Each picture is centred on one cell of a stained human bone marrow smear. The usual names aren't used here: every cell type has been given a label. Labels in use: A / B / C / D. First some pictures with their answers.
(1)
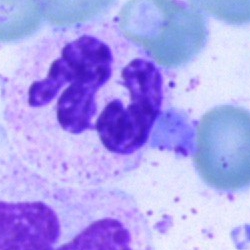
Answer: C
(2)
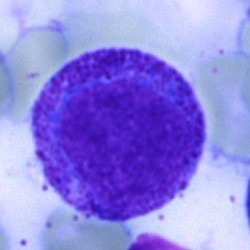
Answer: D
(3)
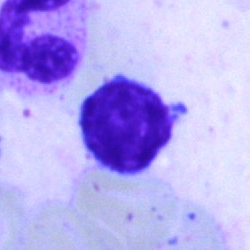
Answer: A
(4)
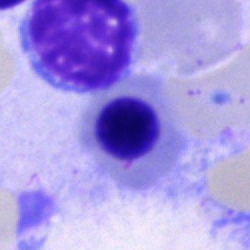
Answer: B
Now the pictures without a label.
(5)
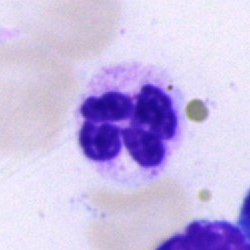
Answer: C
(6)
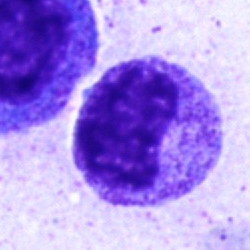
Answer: D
